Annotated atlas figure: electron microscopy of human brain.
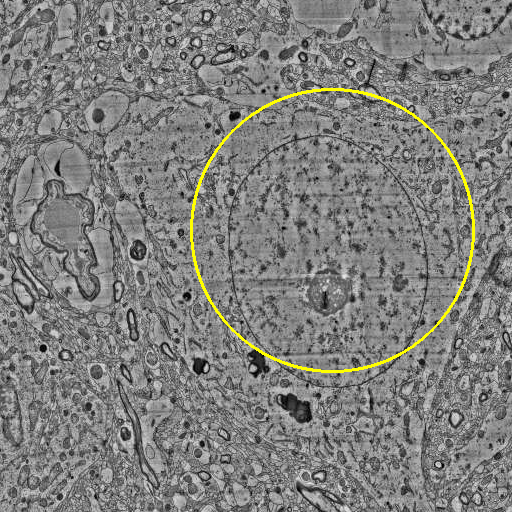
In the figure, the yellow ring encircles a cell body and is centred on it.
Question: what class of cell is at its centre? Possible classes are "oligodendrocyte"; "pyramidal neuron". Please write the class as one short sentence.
The yellow ring is drawn around a pyramidal neuron.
